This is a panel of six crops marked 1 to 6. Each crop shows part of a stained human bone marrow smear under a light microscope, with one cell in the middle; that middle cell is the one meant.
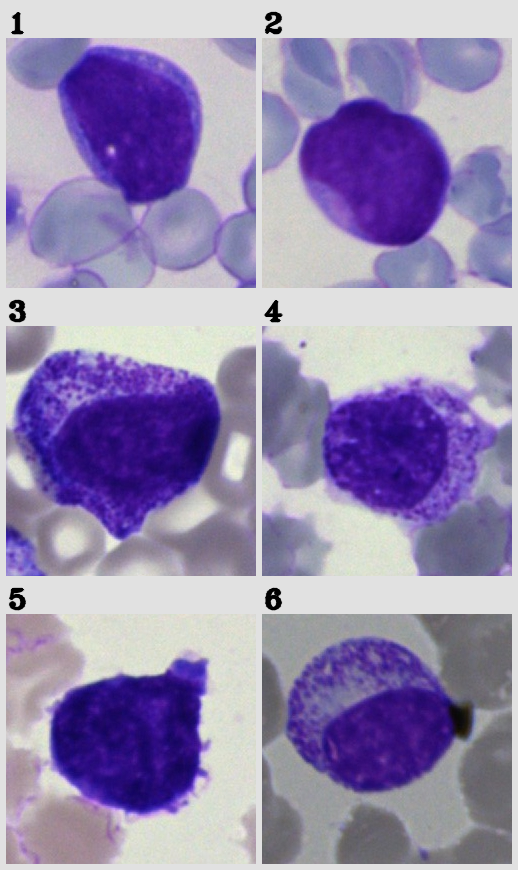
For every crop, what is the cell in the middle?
1: blast
2: blast
3: myelocyte
4: myelocyte
5: blast
6: myelocyte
